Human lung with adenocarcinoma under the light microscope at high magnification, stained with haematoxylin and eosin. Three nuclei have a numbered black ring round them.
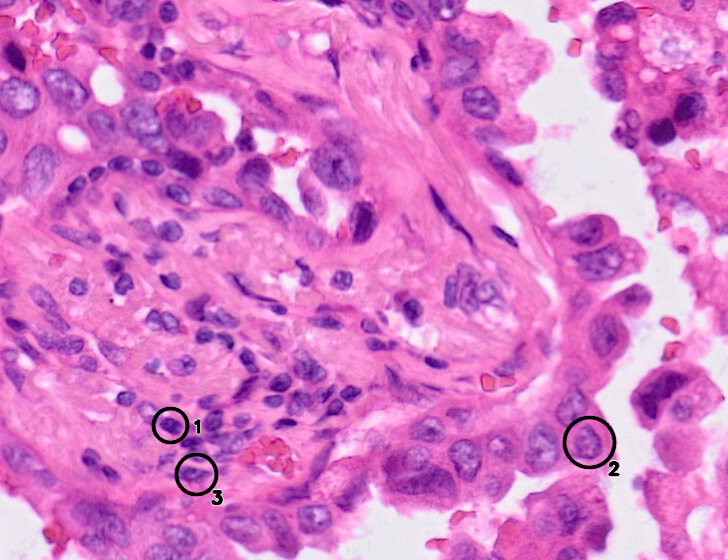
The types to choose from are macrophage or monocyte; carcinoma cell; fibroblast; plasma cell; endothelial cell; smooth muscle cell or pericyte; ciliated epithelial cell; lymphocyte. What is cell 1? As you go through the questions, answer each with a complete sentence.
In the marked set, the cell given number 1 is a lymphocyte.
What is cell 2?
The one labeled 2 is a carcinoma cell, to put it simply.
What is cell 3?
The cell that goes by number 3 is a lymphocyte.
